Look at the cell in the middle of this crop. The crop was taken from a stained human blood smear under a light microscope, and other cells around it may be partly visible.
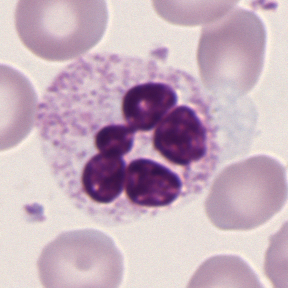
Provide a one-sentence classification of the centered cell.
The middle of this crop is occupied by a segmented neutrophil.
